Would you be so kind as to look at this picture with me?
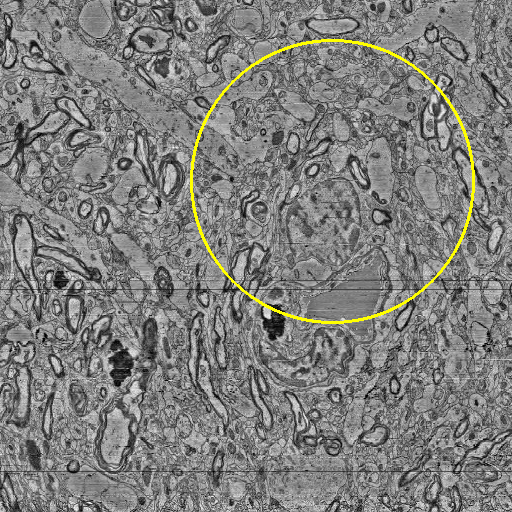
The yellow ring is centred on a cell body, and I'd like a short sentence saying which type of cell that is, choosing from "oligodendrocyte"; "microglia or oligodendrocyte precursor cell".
The cell body in the ring belongs to an oligodendrocyte.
